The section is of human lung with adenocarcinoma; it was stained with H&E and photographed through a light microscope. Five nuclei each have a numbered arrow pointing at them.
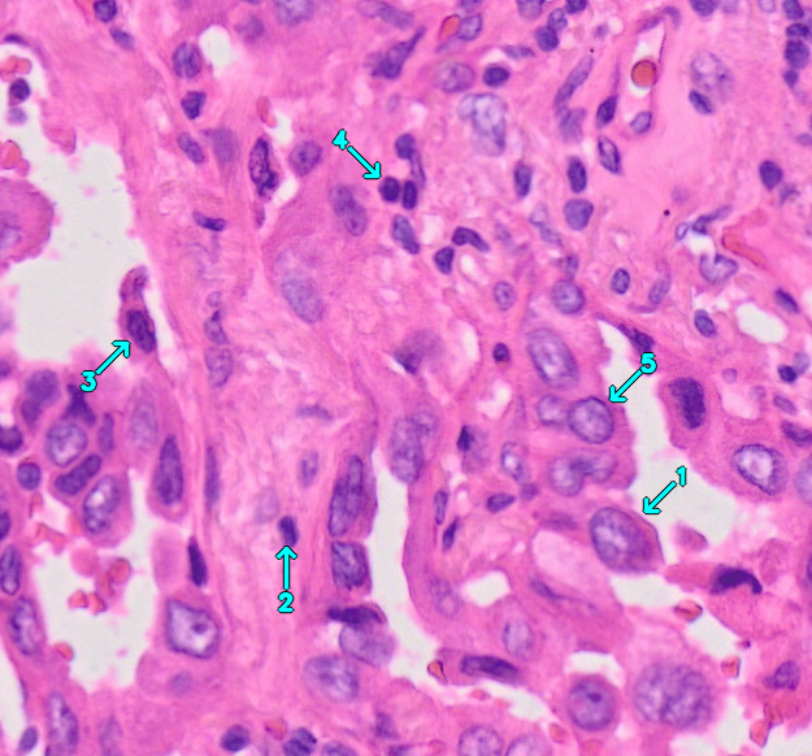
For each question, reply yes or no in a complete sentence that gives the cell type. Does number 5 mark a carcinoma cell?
Yes, the cell to which number 5 refers is a carcinoma cell.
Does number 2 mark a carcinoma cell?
No, number 2 belongs to a lymphocyte, not to a carcinoma cell.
